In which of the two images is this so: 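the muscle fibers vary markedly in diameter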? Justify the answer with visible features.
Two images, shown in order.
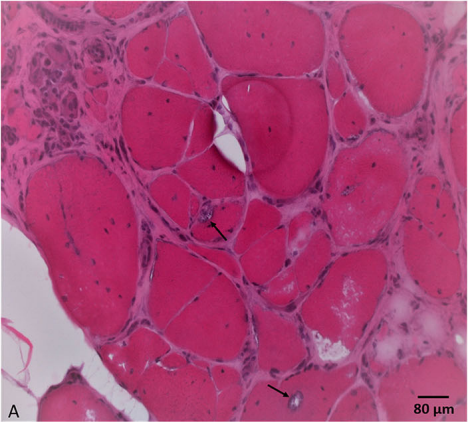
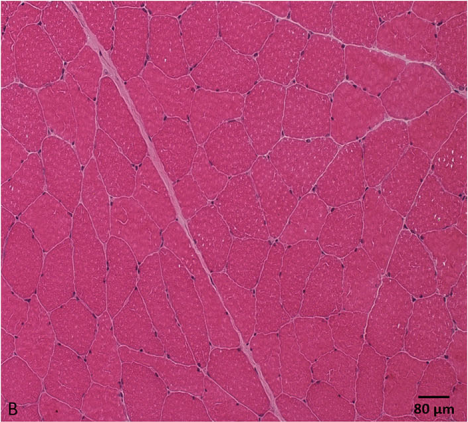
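Second image: fibers are polygonal and of similar size, with nuclei at their edges. First image: rounded fibers range from very large to small, many with inner nuclei.
Hence: the first image.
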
